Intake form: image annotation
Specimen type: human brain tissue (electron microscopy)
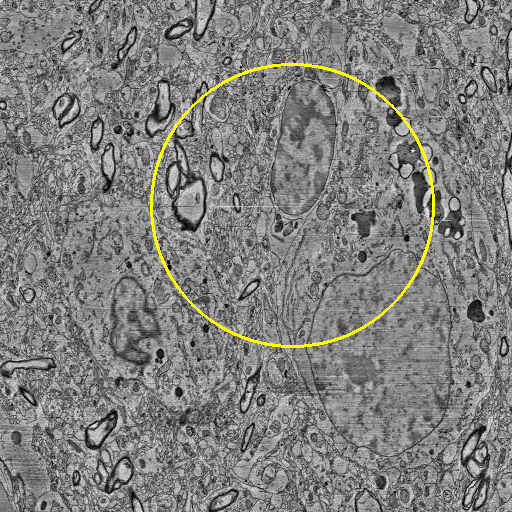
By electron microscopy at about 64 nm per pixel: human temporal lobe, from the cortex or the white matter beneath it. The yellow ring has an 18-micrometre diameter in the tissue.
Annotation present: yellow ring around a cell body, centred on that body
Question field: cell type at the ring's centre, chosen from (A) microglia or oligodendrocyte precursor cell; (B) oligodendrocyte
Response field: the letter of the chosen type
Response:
A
